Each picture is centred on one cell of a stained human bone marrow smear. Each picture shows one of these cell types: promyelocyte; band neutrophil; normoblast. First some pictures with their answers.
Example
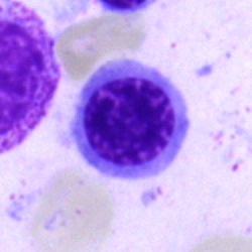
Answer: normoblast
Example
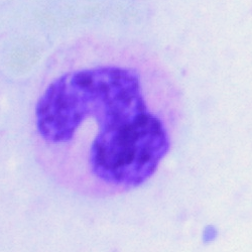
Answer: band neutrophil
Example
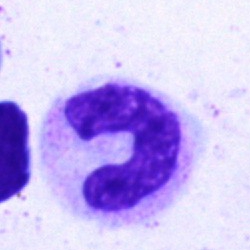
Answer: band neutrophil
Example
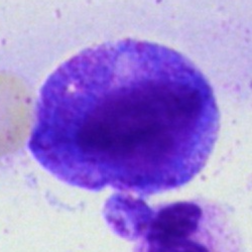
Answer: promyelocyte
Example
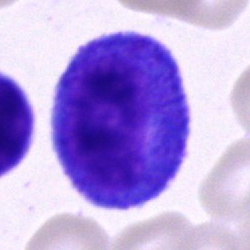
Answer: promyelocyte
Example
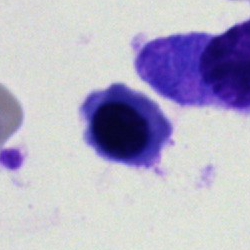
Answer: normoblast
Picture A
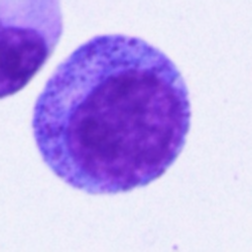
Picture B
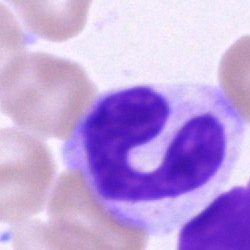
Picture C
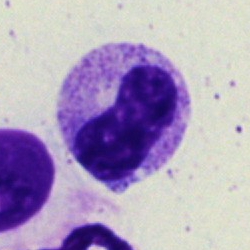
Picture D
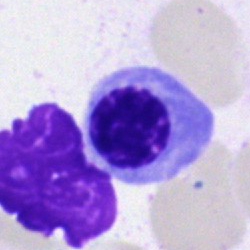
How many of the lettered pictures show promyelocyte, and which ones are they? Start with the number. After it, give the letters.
1, namely A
